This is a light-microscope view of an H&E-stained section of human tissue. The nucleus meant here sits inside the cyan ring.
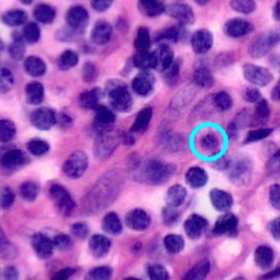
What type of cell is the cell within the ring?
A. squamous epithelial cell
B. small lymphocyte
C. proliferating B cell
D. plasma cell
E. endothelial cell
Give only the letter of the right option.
E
